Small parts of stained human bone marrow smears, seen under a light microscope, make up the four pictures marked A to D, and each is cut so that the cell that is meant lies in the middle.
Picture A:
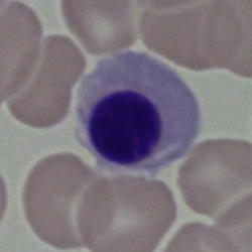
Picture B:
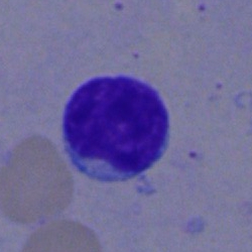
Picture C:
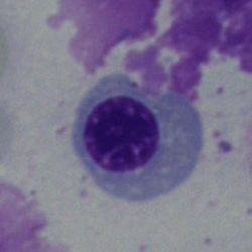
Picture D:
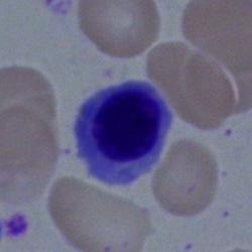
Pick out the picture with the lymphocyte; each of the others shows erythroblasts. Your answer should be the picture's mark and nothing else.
B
